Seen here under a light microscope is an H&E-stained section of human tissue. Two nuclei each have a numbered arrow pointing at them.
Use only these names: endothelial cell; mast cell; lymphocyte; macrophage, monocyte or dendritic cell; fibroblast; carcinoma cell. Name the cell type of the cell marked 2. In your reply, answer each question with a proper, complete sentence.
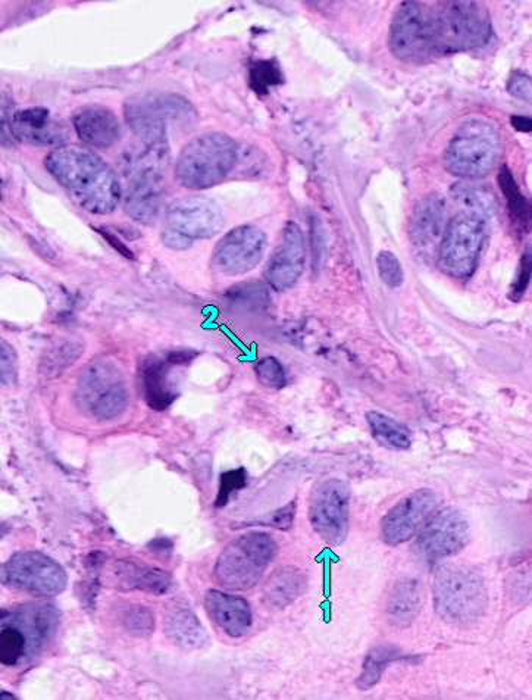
Among the marked nuclei, number 2 belongs to a macrophage, monocyte or dendritic cell.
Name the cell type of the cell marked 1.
The correct answer for cell 1 is a carcinoma cell.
